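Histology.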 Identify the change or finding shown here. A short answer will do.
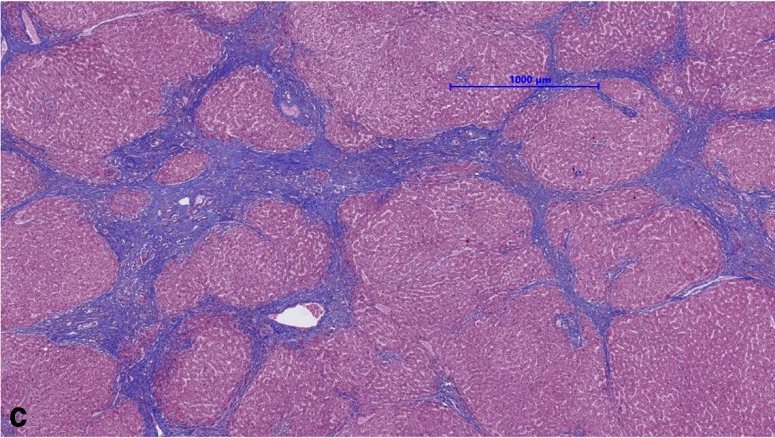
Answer: Cirrhosis.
